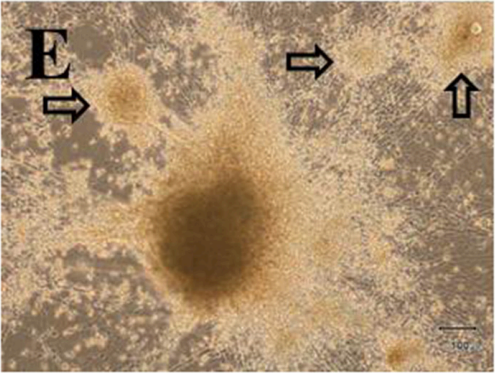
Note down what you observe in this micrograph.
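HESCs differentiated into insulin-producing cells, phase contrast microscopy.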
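From the aggregate, cells have spread outward across the surface as a loose, uneven layer with open patches between groups. Many small round refractile cells are scattered throughout, and some thin elongated cells with fine processes run between them. Several smaller, rounded, pale brown compact clusters of cells lie apart from the large aggregate in the upper part of the field, each with a fringe of spreading cells around it.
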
